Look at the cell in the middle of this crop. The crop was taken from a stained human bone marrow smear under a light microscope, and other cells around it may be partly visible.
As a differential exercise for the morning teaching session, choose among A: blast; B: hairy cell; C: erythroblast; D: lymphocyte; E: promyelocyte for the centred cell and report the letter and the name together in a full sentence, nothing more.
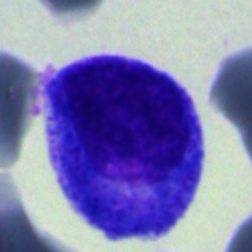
The middle of the crop contains a promyelocyte, so option E is right.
